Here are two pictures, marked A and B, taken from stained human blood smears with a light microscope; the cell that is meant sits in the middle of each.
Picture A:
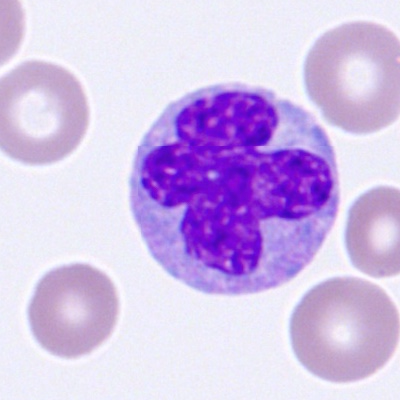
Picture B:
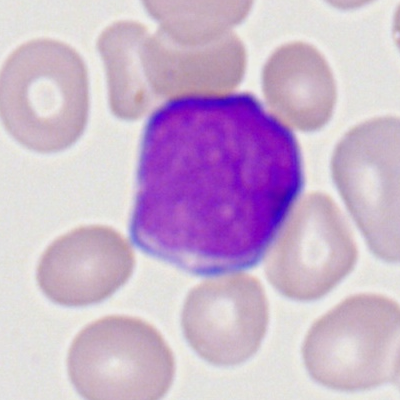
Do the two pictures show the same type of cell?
no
